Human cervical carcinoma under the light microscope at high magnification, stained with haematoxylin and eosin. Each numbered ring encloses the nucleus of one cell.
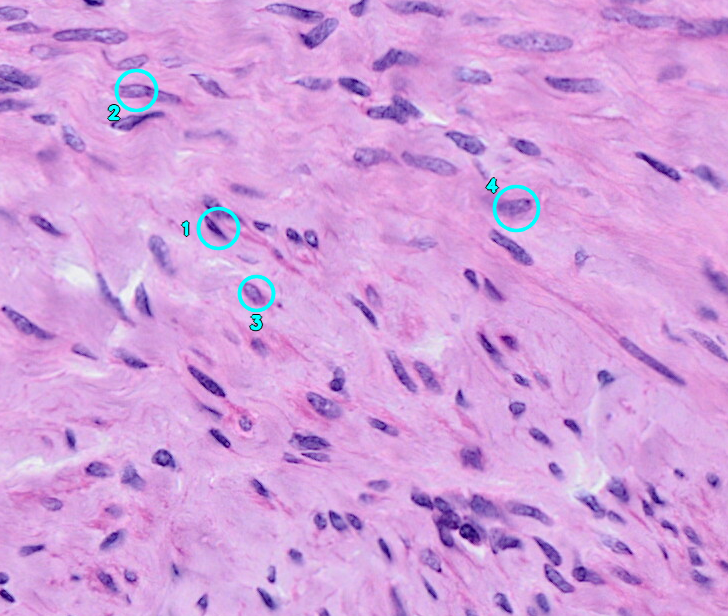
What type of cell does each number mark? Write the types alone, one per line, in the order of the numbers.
fibroblast
smooth muscle cell
smooth muscle cell
smooth muscle cell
